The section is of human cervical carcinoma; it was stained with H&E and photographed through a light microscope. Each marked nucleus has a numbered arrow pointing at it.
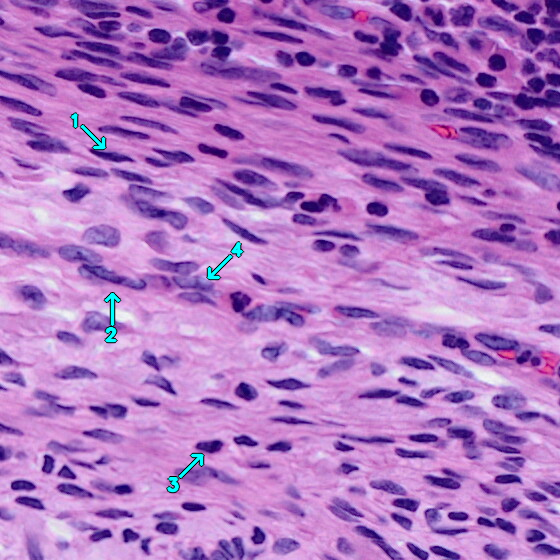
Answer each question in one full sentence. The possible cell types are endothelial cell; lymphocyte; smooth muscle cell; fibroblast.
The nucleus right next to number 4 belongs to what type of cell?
The nearest nucleus to number 4 belongs to an endothelial cell.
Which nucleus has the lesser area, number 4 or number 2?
It is nucleus 4; nucleus 2 has about 3 times its area.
